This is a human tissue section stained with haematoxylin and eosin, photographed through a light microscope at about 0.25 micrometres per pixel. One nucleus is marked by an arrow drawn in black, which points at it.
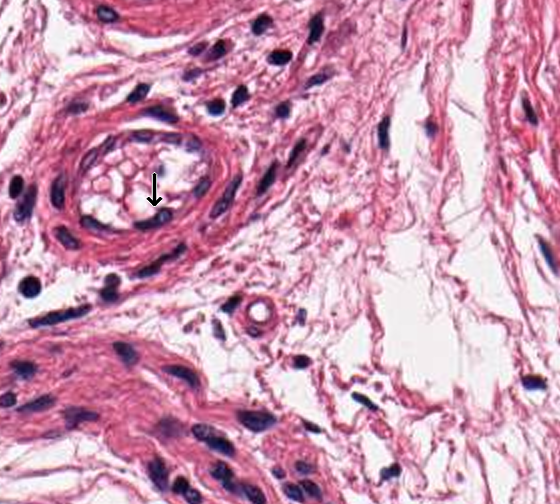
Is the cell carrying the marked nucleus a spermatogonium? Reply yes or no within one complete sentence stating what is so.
No, the marked nucleus is not housed in a spermatogonium but in a supporting cell.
